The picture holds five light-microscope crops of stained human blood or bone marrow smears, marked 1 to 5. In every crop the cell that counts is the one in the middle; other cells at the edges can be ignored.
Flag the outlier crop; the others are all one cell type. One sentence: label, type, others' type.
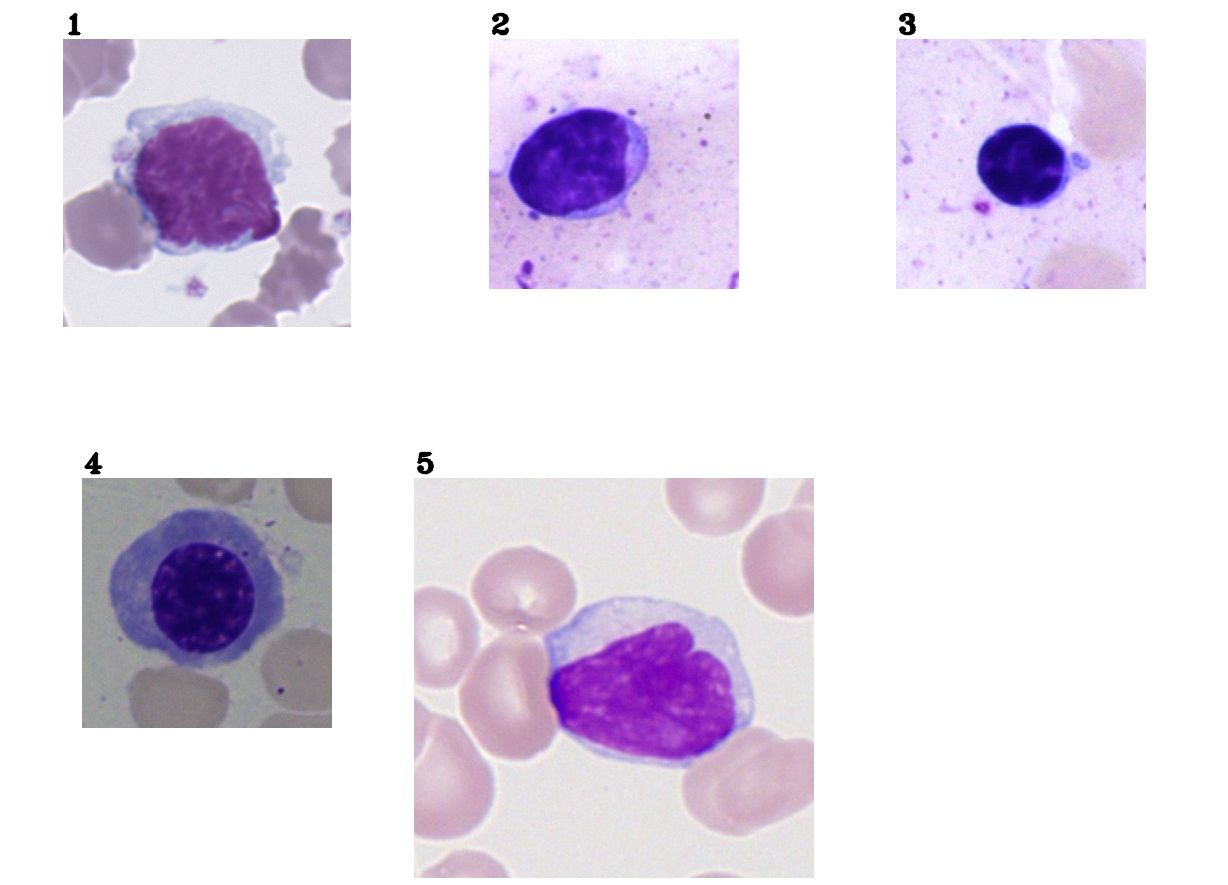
The different crop is 4; it is an erythroblast, and the others all show lymphocytes.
